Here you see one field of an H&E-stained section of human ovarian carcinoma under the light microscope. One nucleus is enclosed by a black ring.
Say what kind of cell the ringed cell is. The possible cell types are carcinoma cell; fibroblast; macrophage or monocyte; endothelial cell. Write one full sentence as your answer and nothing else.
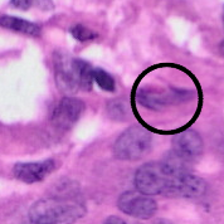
Assigned to a cell type, the ringed cell is an endothelial cell.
